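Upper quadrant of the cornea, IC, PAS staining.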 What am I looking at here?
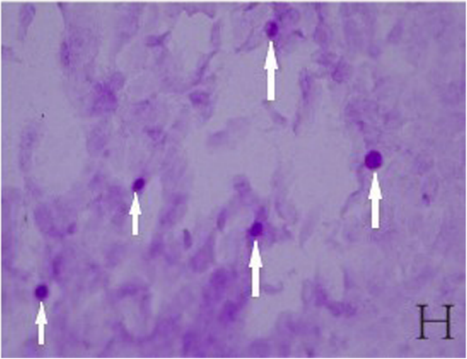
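The background consists of sheets of pale lilac, irregular epithelial cells with indistinct borders and faintly stained cytoplasm. Scattered among them are small, round, sharply defined bodies stained a deep, dense purple-magenta; these are goblet cells, and they stand out by their strong staining and compact rounded shape. They lie singly and are spread across the field rather than clustered. Their presence among the epithelial cells indicates that conjunctival-type epithelium is present on this part of the surface.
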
